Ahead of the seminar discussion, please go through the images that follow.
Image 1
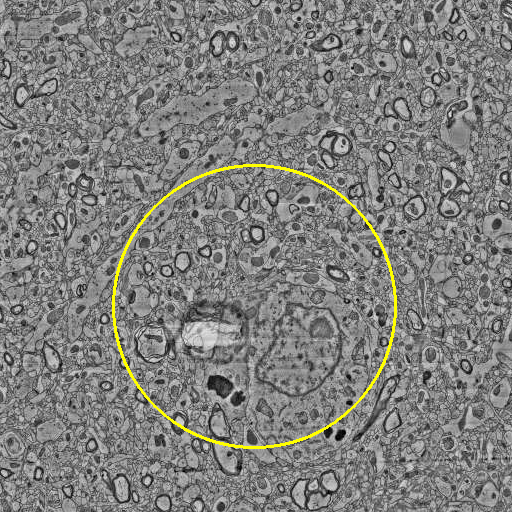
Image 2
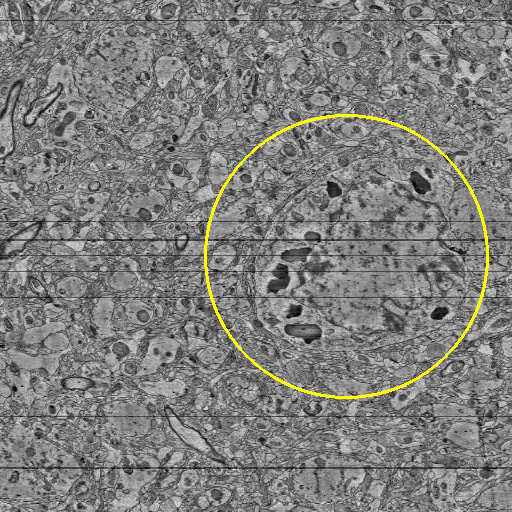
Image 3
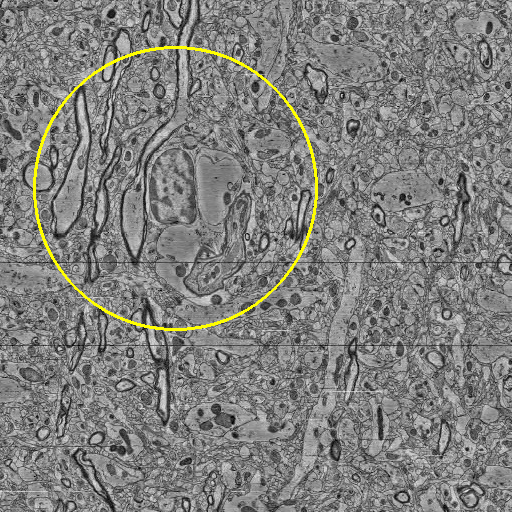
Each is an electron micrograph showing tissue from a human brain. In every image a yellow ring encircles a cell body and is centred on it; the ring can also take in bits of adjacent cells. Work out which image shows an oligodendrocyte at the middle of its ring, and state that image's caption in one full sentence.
In Image 1, the ring's centre holds the cell you are looking for.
